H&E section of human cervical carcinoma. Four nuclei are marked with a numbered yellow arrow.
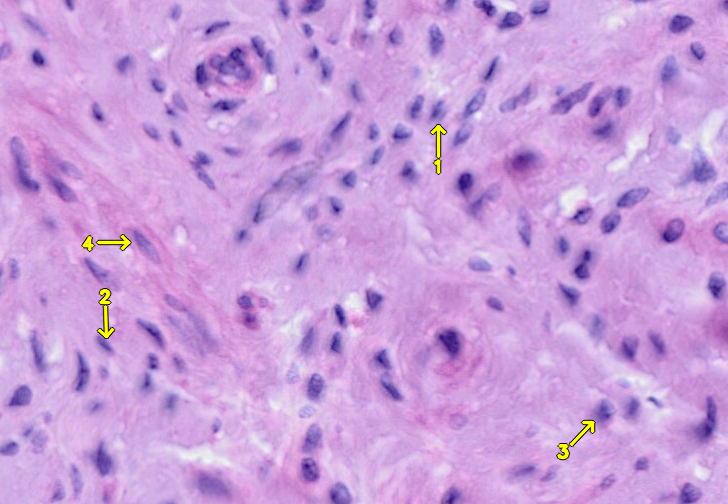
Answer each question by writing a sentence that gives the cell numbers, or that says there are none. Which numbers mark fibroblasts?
In this section, the cells numbered 1, 2 and 3 are fibroblasts.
